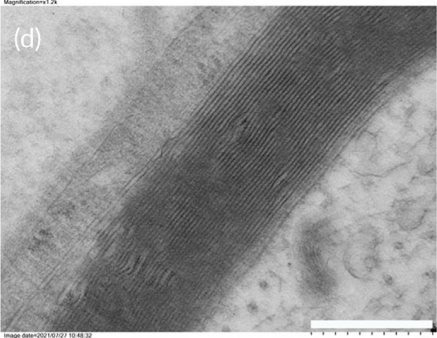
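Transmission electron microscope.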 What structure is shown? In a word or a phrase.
myelin sheaths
